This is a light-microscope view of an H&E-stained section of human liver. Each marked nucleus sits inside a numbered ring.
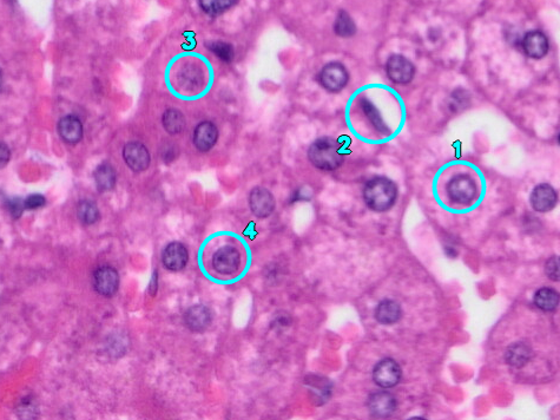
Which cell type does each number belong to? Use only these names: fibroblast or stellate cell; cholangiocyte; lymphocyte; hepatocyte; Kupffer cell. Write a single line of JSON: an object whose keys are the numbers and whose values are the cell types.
{"1": "hepatocyte", "2": "Kupffer cell", "3": "hepatocyte", "4": "hepatocyte"}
